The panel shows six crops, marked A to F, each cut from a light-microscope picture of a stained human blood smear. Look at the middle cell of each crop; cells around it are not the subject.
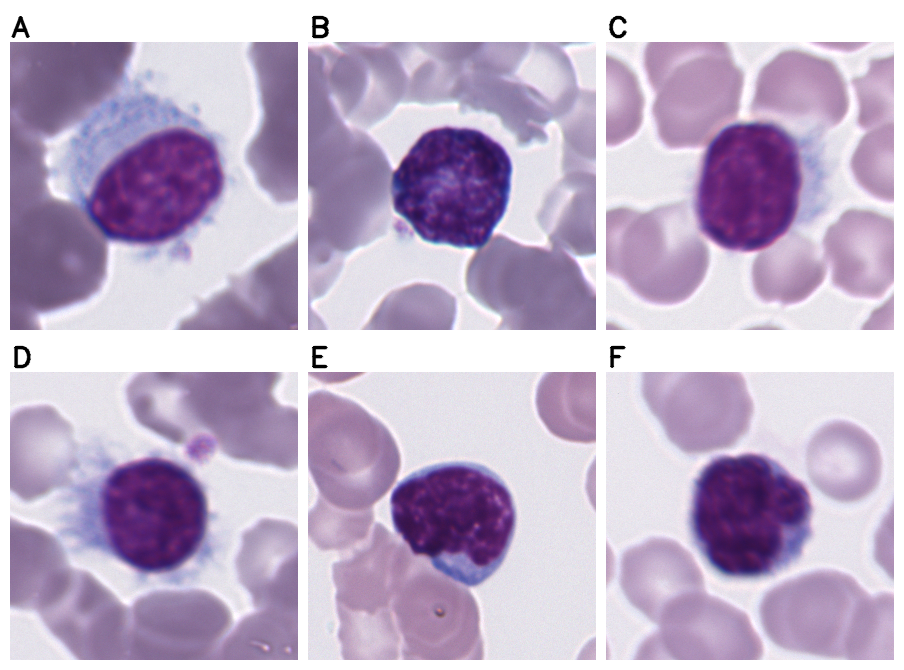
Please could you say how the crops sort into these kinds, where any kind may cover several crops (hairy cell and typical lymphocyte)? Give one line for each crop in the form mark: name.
A: hairy cell
B: typical lymphocyte
C: hairy cell
D: hairy cell
E: typical lymphocyte
F: typical lymphocyte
